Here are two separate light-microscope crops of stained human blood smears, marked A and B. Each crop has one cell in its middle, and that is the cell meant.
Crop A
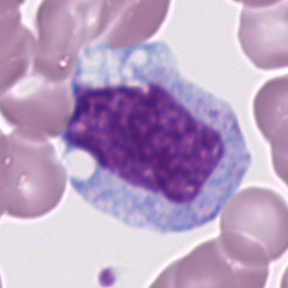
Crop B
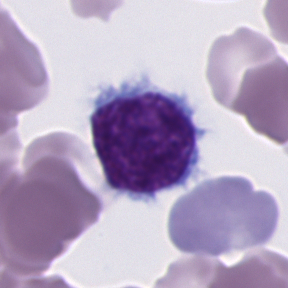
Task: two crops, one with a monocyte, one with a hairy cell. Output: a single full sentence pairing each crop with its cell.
Crop A contains a monocyte, and crop B, a hairy cell.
